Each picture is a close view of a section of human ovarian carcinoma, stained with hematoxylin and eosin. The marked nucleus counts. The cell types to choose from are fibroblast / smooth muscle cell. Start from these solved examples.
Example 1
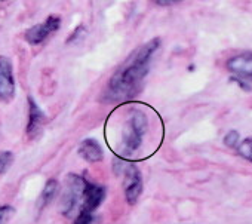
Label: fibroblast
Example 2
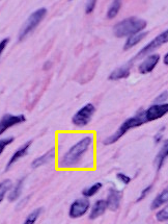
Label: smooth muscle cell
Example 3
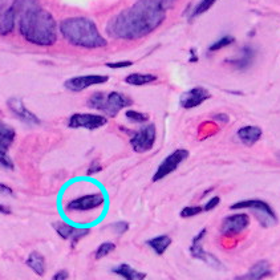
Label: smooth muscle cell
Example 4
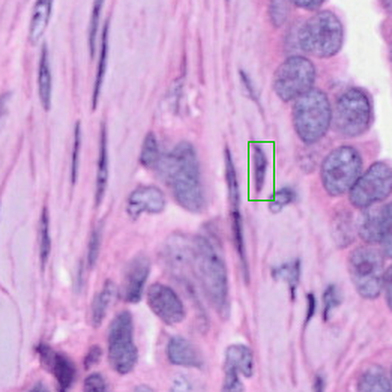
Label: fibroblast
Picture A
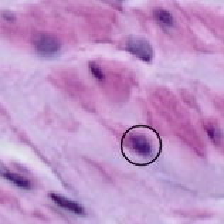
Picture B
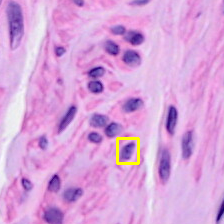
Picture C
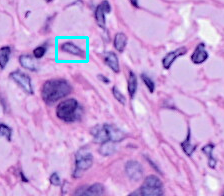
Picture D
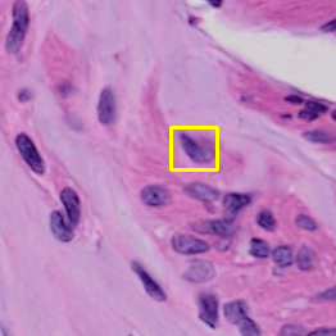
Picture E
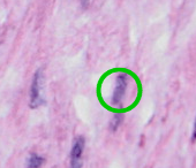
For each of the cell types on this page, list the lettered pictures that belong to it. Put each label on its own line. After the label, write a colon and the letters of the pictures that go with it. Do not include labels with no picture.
fibroblast: C, E
smooth muscle cell: A, B, D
